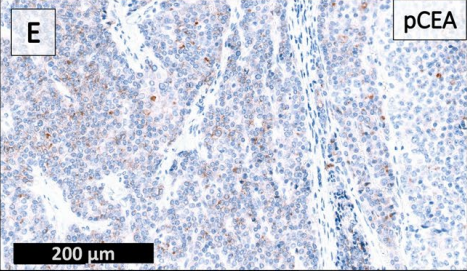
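Sheets of fairly uniform tumour cells with round blue nuclei are crossed by thin strands of fibrous stroma. Only scattered small brown granules and dots lie within the cytoplasm of some cells. There is no continuous lined pattern between the cells.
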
